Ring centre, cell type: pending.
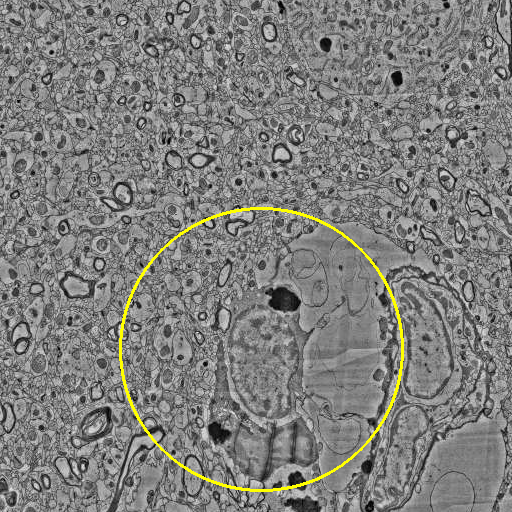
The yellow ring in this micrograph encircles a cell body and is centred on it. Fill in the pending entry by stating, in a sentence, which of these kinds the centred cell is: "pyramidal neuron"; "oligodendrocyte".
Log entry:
The centred cell is recorded as an oligodendrocyte.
